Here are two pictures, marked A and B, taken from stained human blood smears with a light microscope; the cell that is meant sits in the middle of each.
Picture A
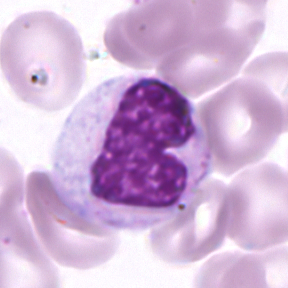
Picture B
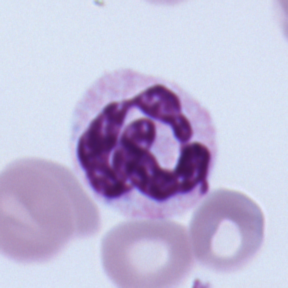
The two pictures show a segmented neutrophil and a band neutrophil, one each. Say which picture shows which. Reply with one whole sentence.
It is picture A that shows a band neutrophil, and picture B that shows a segmented neutrophil.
